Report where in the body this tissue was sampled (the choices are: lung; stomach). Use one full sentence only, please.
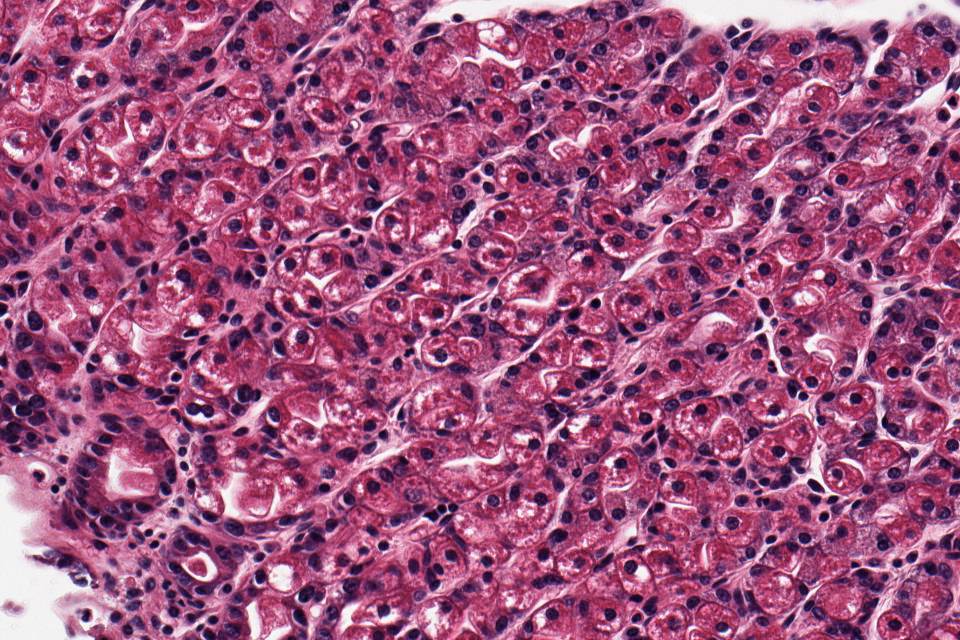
It is from the stomach that this section was cut.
